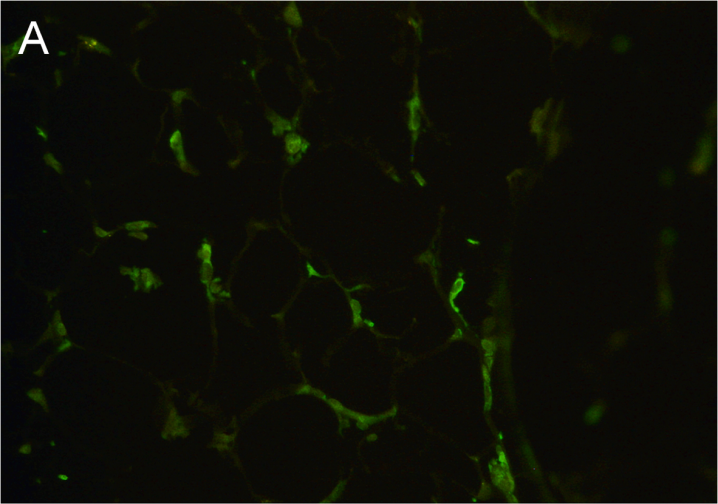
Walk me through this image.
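This is fat tissue, in which large adipocytes appear as round to polygonal empty spaces bordered by thin, faint green rims of cytoplasm. Small, brighter green cells with irregular shapes sit in the corners and along the borders between the adipocytes.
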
